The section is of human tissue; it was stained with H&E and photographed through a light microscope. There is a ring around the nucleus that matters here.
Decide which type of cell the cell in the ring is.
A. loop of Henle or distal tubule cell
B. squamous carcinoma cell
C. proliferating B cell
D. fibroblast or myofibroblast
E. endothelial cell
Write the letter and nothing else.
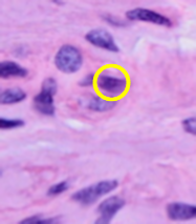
E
